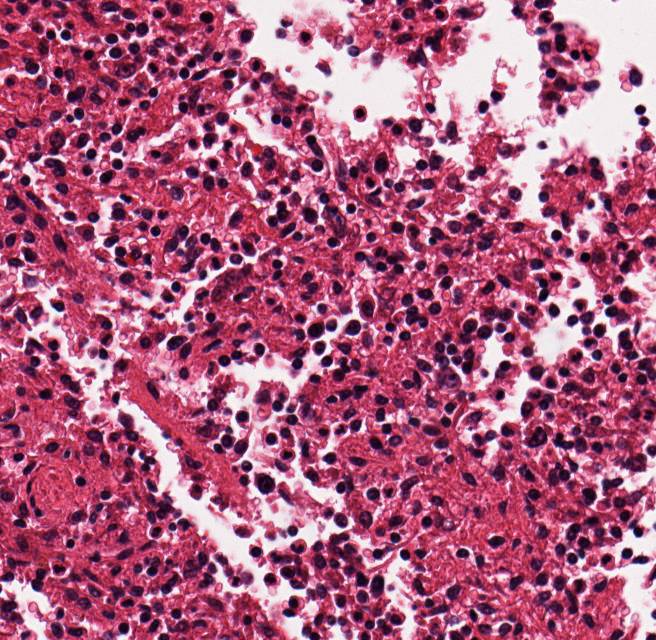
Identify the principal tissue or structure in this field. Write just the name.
red pulp of the spleen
